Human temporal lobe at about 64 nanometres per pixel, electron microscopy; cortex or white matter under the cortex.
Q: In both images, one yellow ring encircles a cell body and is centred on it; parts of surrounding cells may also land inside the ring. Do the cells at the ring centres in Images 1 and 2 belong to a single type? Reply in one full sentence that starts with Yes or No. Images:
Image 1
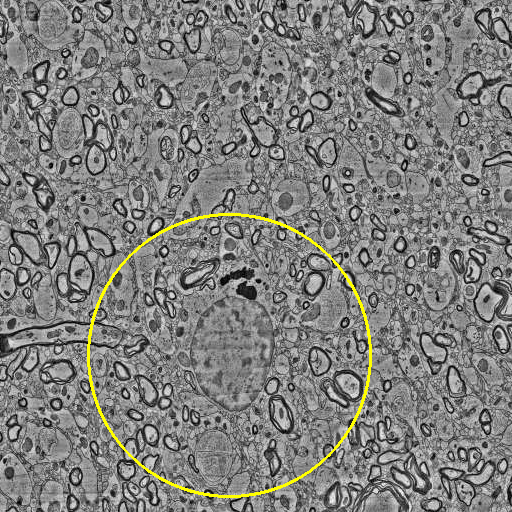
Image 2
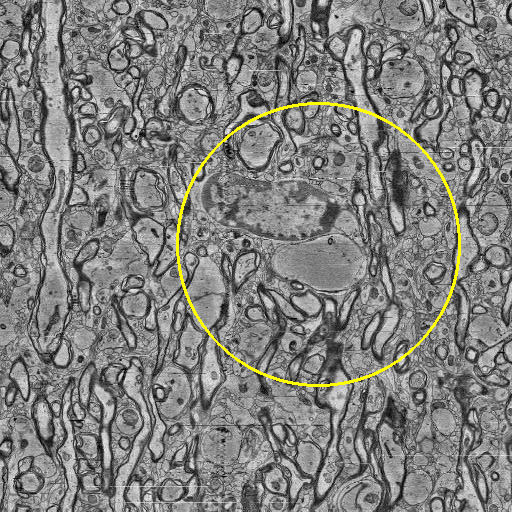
No, the cells at the ring centres in Images 1 and 2 are of two types.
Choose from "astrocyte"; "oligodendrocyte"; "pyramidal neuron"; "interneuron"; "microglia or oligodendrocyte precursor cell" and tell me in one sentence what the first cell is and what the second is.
What the first ring is centred on is an oligodendrocyte; what the second ring is centred on is a microglial cell or oligodendrocyte precursor cell.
